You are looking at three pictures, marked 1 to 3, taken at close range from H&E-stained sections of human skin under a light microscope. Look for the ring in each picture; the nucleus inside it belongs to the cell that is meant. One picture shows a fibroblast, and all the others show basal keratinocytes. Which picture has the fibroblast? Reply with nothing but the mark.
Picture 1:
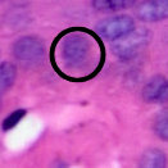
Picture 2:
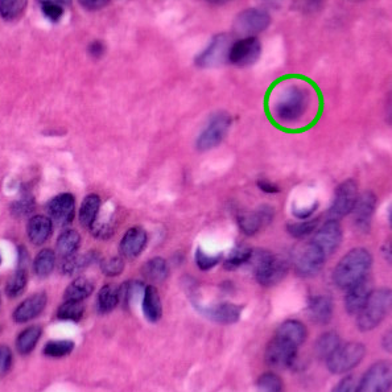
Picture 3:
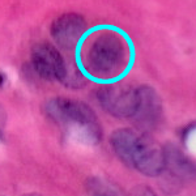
2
